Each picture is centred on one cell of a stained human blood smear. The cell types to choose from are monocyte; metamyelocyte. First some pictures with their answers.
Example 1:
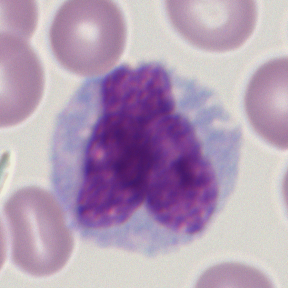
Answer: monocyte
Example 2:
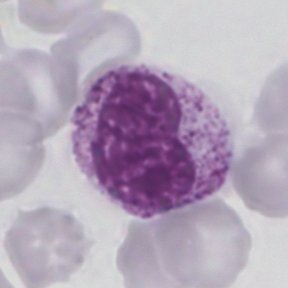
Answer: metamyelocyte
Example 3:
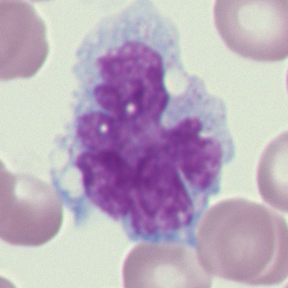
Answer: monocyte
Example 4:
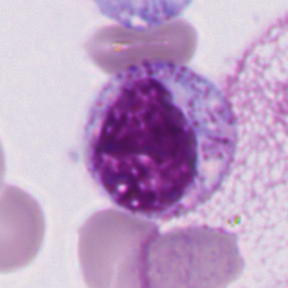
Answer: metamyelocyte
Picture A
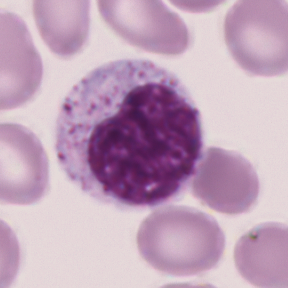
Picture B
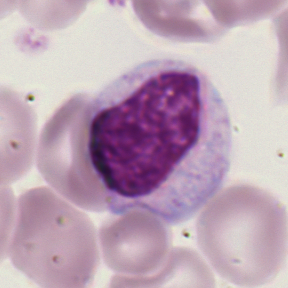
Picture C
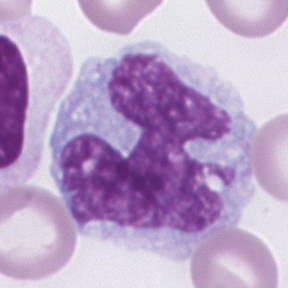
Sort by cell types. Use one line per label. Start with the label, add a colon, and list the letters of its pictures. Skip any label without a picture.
monocyte: C
metamyelocyte: A, B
